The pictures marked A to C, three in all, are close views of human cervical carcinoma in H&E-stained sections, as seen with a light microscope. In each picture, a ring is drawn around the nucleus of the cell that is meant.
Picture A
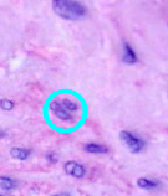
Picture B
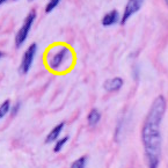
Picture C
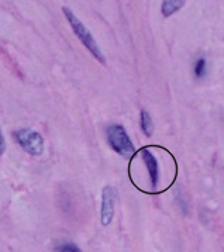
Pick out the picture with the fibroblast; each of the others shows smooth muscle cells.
C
